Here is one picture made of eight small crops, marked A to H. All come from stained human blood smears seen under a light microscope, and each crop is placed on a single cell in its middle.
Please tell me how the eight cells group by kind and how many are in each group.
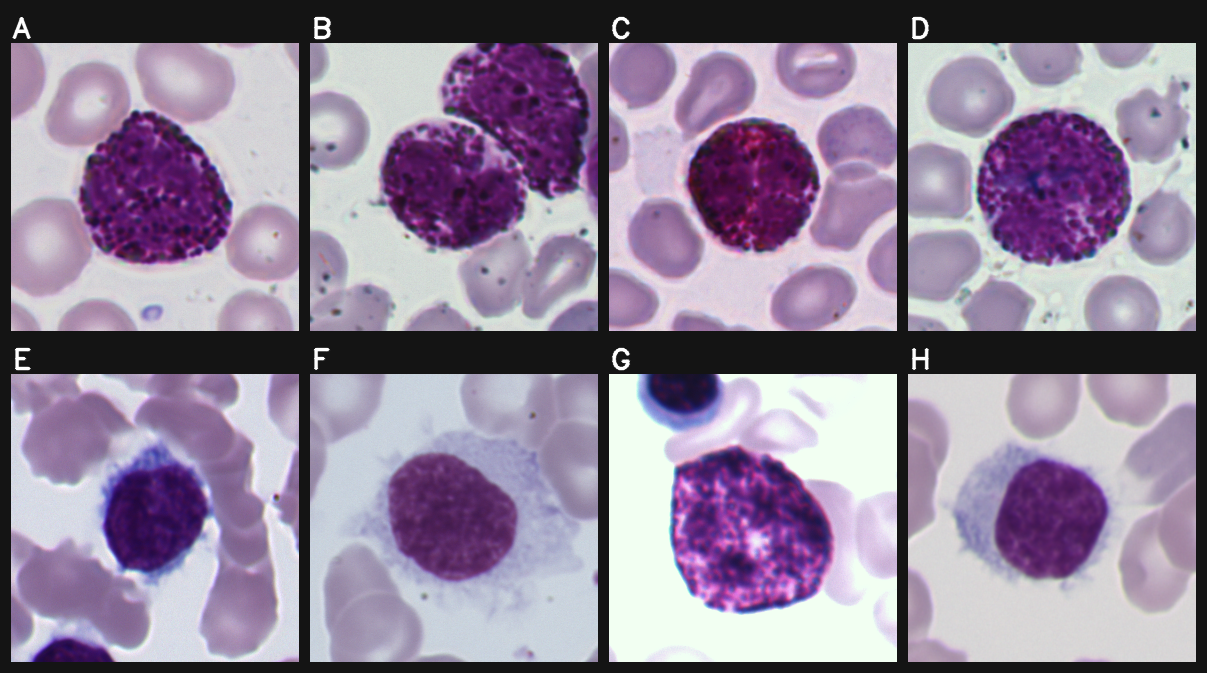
basophil: 5
hairy cell: 3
